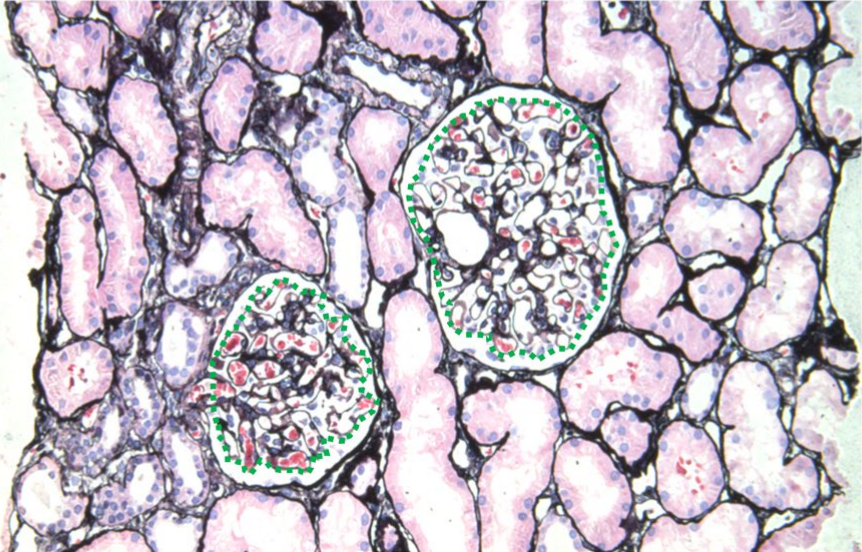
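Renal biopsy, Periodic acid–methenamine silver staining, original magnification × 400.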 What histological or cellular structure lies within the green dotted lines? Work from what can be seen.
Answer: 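Glomerular tuft. Two round structures, each ringed by a clear space and a thin capsule, are set among tubules. Each green dotted line encloses a lobulated tangle of capillary loops with black-stained walls. Some capillary lumens hold red cells.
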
